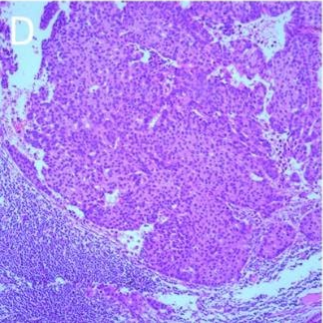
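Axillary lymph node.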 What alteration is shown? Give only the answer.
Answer: Nest metastases of tumor cells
